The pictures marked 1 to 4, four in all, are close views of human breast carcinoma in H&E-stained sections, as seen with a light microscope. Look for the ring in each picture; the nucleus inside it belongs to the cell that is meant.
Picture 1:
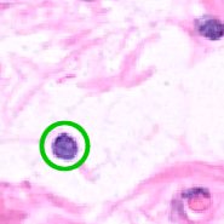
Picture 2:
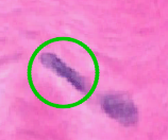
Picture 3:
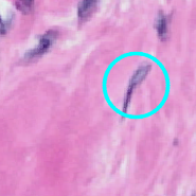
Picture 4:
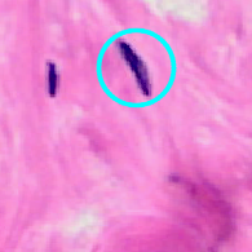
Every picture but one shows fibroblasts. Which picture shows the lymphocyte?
1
